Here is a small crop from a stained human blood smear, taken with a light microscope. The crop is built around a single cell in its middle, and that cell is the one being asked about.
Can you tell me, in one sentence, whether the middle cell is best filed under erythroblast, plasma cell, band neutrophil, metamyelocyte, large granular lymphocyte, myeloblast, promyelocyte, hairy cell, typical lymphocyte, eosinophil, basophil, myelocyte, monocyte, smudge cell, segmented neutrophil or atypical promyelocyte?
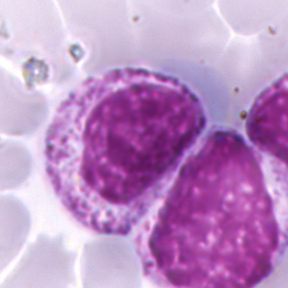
The cell at the middle of the crop is recognized as a myelocyte.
